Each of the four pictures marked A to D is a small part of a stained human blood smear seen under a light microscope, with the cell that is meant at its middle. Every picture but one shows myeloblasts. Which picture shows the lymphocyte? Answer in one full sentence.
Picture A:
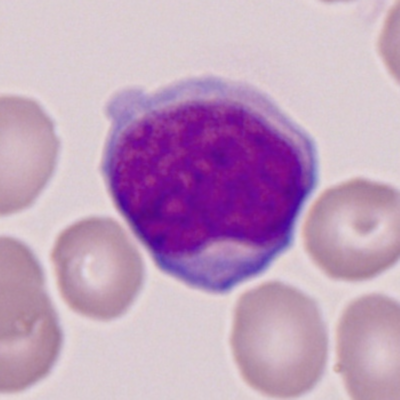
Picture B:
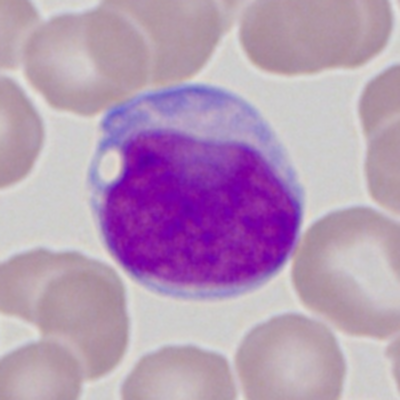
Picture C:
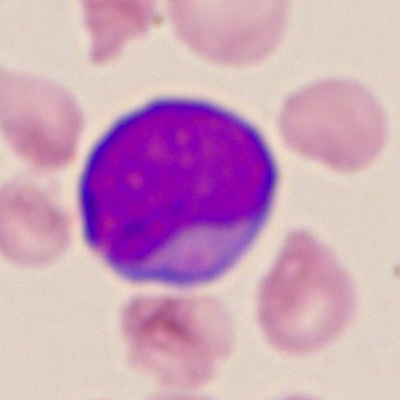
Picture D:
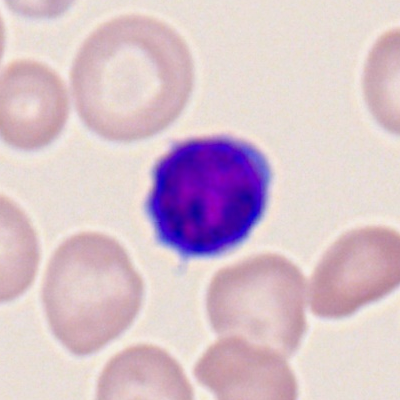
The picture with the lymphocyte is D.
